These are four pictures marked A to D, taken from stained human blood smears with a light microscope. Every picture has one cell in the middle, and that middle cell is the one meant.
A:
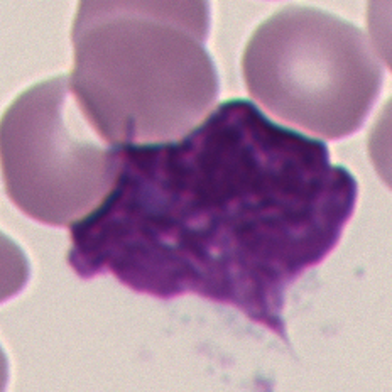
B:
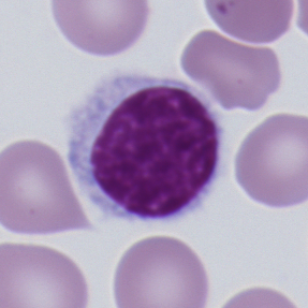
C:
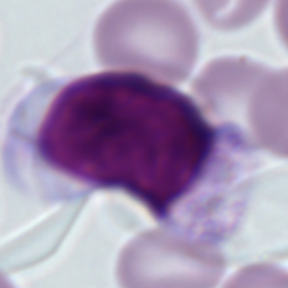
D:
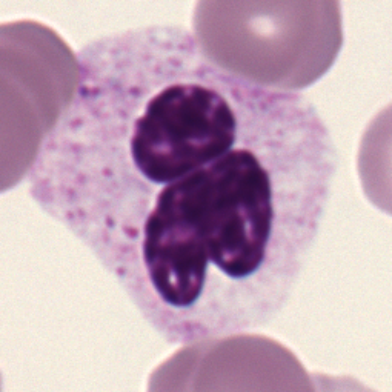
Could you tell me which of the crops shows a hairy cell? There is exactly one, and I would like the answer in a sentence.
It is in crop B that a hairy cell is shown.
